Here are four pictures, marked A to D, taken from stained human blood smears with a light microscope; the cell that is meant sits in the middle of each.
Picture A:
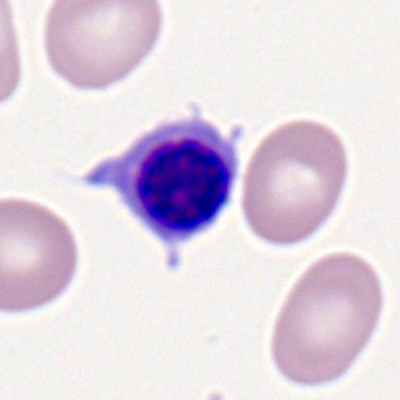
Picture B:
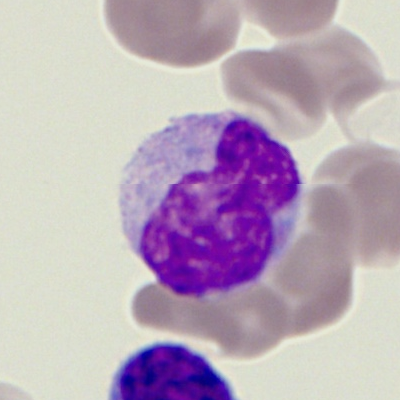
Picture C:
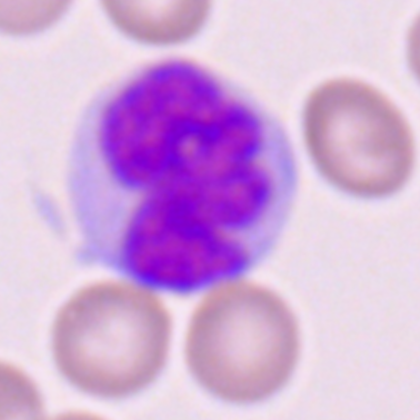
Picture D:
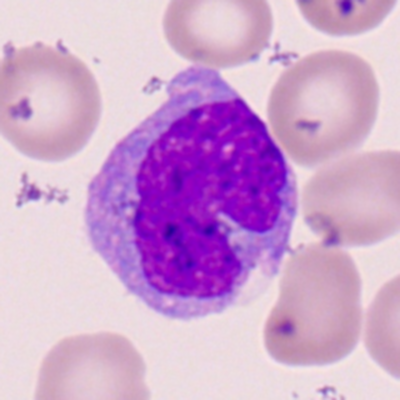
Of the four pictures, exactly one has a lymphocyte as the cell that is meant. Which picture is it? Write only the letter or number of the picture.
A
